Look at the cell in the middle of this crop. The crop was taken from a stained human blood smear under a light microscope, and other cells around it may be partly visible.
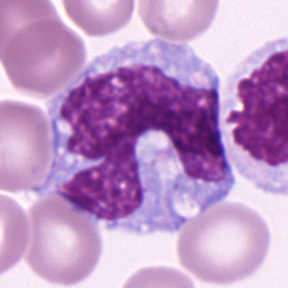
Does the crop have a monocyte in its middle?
yes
